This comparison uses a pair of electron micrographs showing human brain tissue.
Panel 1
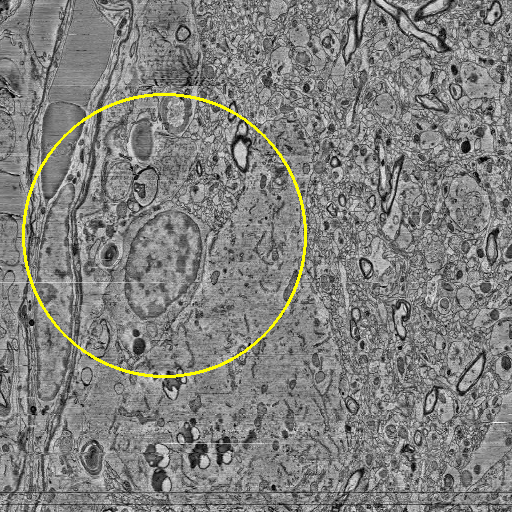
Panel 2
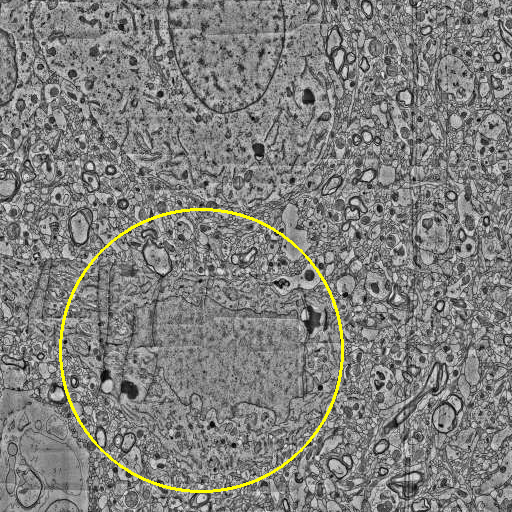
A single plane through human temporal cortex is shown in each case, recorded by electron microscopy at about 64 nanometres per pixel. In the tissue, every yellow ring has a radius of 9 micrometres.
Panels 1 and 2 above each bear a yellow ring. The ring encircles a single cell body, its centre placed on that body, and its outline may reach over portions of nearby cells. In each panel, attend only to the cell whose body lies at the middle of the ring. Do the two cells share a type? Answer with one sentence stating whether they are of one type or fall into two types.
In Panel 1 and Panel 2, the cells at the centres of the rings fall into two types.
